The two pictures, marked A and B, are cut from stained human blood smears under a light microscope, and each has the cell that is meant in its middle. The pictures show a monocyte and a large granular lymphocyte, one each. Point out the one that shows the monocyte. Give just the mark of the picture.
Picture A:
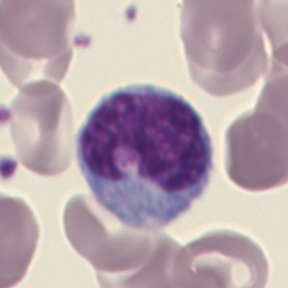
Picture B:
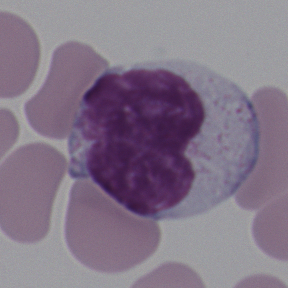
A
